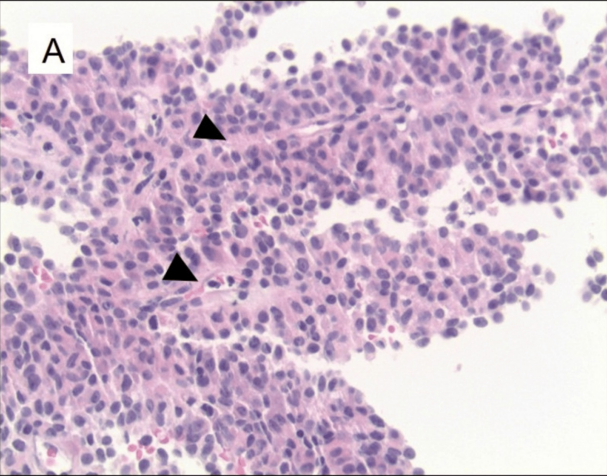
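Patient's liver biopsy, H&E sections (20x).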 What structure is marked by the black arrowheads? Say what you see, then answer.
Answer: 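Thin pink strands with slender nuclei and some red blood cells run through the cell fragments where the arrowheads point. Tumor cells are clustered around these strands. That points to this answer: fibrovascular cores.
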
